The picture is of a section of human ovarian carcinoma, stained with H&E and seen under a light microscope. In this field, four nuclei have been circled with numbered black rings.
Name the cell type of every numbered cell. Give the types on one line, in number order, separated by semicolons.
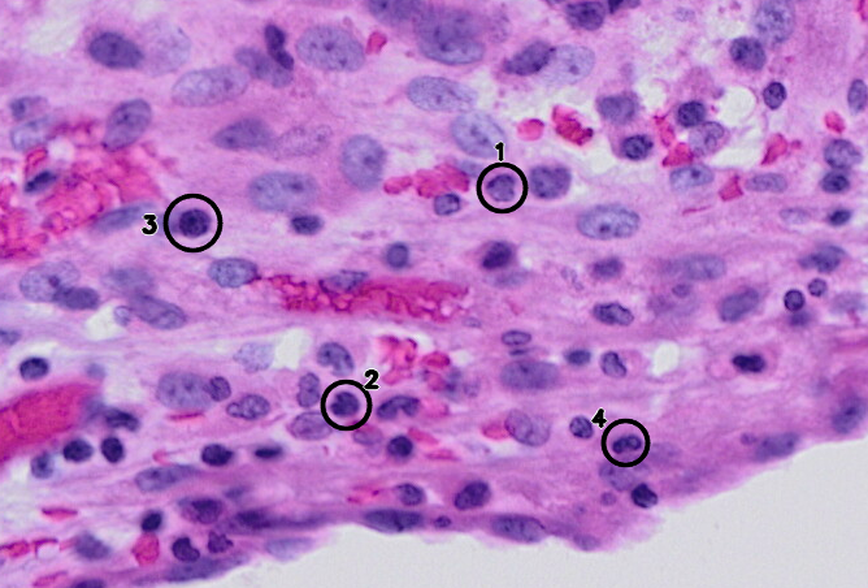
macrophage or monocyte; lymphocyte; lymphocyte; lymphocyte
